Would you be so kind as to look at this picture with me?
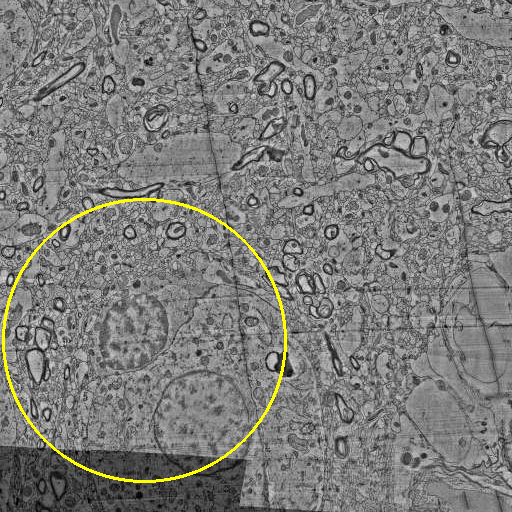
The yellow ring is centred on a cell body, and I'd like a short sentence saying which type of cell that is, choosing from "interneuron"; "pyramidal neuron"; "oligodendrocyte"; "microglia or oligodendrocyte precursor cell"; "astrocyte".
The cell body in the ring belongs to an oligodendrocyte.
